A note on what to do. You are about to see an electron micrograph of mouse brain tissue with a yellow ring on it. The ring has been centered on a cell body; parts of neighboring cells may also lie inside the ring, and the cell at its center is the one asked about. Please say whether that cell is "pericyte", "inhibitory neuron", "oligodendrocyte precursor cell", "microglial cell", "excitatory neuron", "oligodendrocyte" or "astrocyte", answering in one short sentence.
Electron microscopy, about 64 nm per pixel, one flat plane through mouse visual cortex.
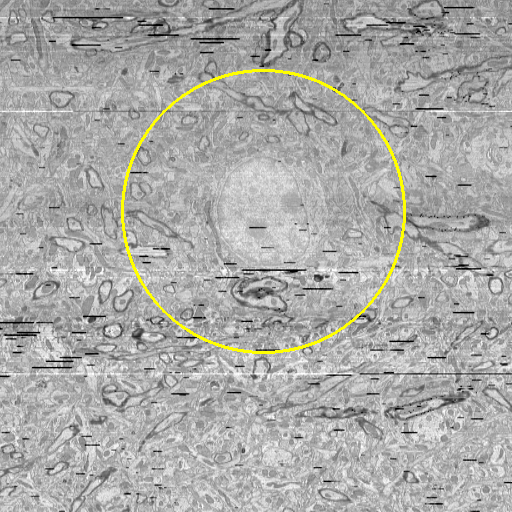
The yellow ring sits on an oligodendrocyte.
